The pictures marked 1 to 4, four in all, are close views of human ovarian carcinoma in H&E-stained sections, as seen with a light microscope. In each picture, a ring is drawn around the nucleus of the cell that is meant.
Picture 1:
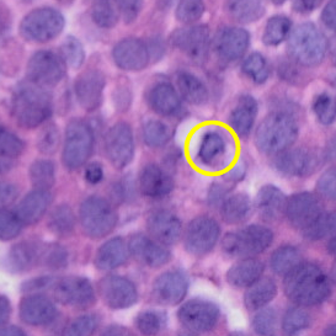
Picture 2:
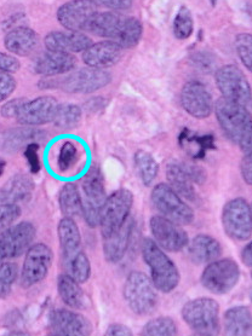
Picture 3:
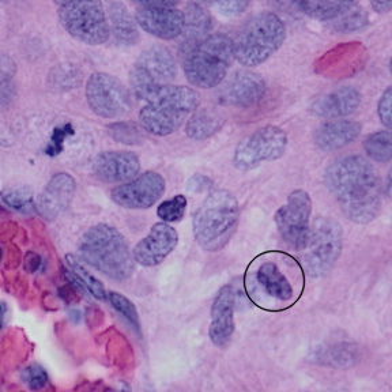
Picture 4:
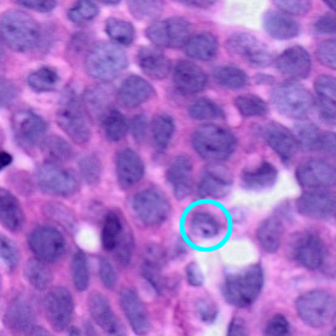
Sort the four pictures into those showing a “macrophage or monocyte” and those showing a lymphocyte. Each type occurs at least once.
1: macrophage or monocyte
2: lymphocyte
3: lymphocyte
4: macrophage or monocyte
